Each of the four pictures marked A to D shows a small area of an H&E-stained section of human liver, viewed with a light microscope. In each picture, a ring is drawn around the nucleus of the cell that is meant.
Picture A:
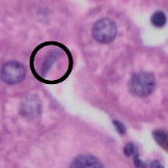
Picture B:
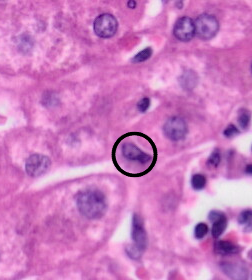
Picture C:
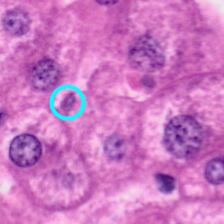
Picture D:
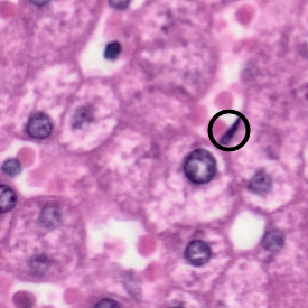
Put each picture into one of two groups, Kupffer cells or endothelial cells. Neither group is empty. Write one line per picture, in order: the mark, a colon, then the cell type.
A: endothelial cell
B: Kupffer cell
C: Kupffer cell
D: endothelial cell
